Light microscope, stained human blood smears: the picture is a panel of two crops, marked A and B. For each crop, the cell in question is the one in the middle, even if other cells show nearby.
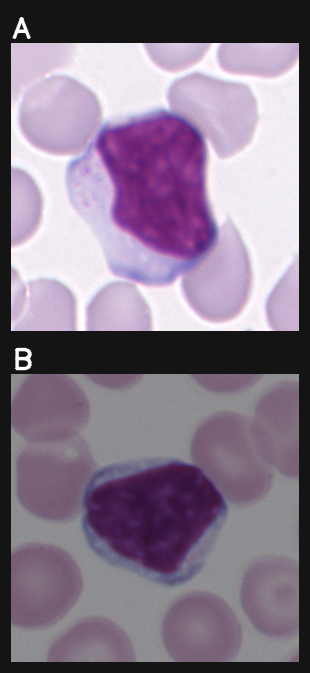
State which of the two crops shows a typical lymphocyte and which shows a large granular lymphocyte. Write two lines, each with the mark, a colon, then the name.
A: large granular lymphocyte
B: typical lymphocyte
